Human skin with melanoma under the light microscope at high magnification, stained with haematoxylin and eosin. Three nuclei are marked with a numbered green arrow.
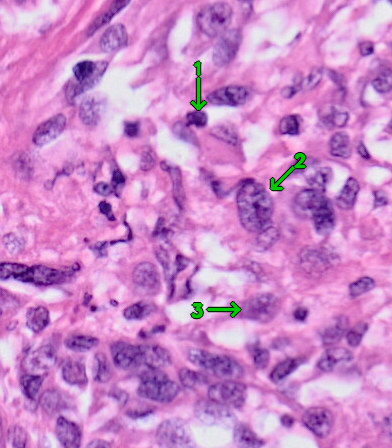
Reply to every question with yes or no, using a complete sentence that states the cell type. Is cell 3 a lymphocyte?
No, a melanoma cell is what cell 3 is, not a lymphocyte.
